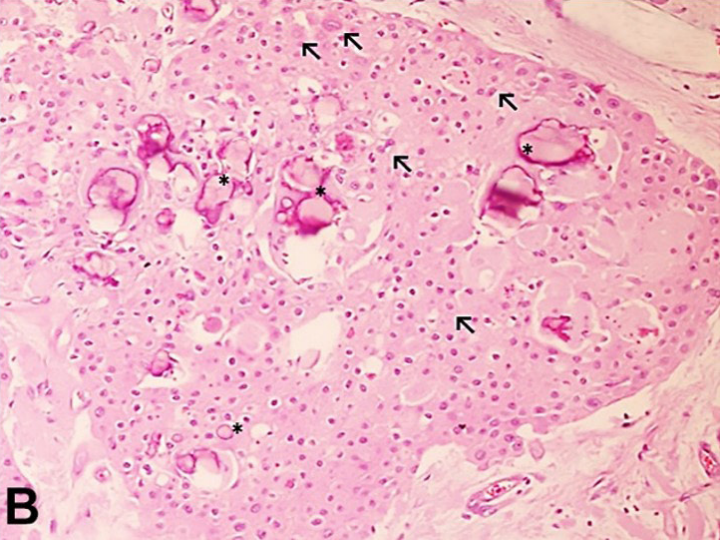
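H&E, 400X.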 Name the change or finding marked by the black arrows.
discrete cellular and nuclear pleomorphism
